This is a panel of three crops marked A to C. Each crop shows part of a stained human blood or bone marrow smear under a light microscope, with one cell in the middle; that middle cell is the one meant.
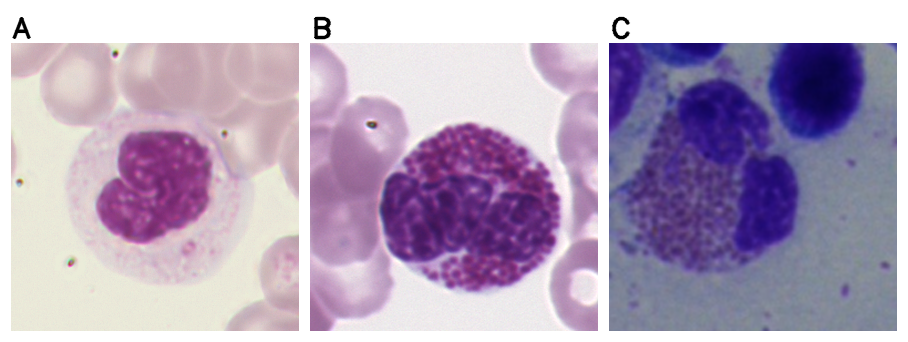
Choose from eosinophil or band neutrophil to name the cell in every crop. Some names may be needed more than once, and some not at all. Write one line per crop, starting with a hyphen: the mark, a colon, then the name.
- A: band neutrophil
- B: eosinophil
- C: eosinophil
